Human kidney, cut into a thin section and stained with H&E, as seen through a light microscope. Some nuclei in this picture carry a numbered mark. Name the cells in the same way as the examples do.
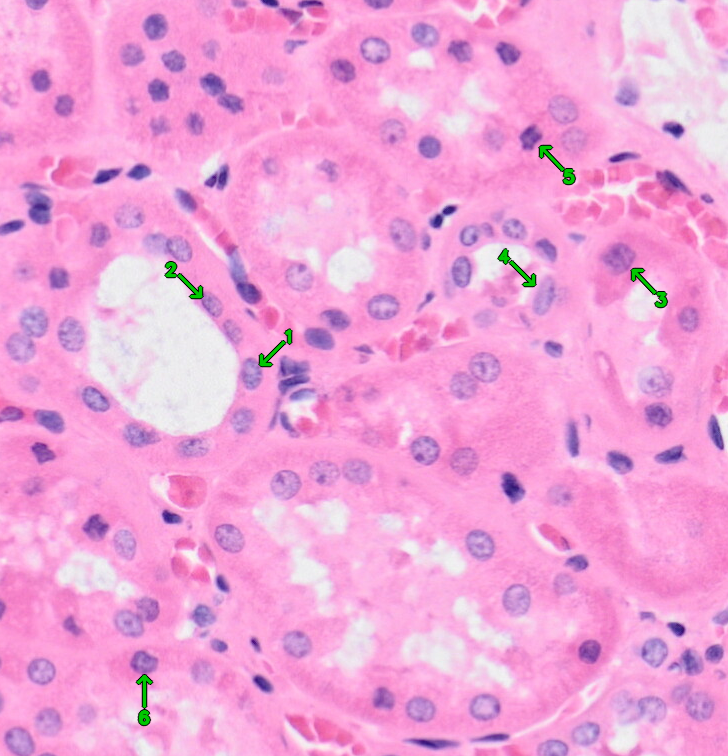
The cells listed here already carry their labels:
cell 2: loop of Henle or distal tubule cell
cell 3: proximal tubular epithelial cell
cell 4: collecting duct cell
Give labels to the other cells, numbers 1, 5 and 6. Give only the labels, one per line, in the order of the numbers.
loop of Henle or distal tubule cell
proximal tubular epithelial cell
proximal tubular epithelial cell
